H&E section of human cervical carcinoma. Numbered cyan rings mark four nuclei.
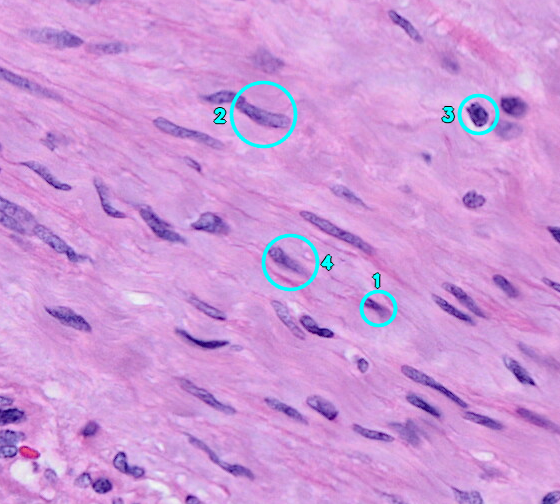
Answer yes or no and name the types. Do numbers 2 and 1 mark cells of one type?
No, cell 2 is a fibroblast whereas cell 1 is a smooth muscle cell.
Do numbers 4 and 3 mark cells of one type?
No, just to clarify, cell 4 is a smooth muscle cell and cell 3 is a lymphocyte.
